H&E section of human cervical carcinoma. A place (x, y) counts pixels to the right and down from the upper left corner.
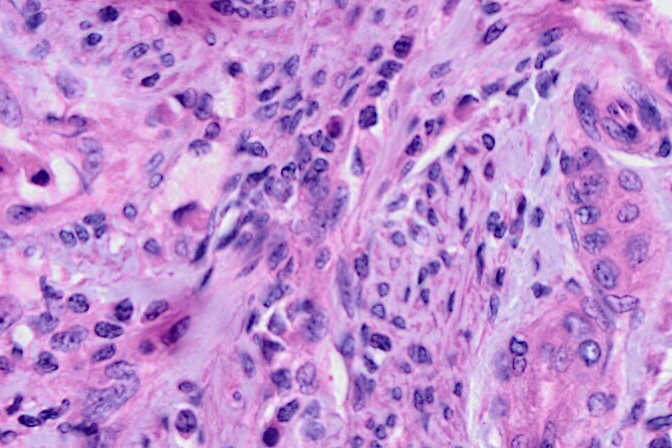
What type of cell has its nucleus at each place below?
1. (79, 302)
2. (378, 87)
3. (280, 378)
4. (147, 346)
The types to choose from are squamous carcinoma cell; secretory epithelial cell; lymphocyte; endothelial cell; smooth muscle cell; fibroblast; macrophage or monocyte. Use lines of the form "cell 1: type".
cell 1: lymphocyte
cell 2: lymphocyte
cell 3: lymphocyte
cell 4: endothelial cell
